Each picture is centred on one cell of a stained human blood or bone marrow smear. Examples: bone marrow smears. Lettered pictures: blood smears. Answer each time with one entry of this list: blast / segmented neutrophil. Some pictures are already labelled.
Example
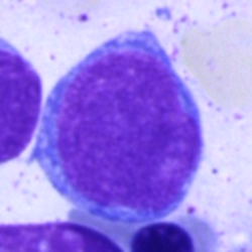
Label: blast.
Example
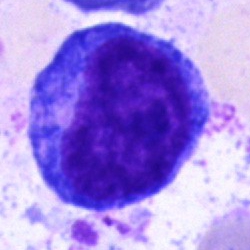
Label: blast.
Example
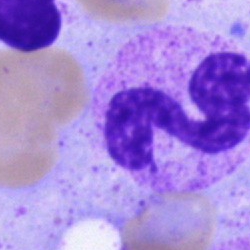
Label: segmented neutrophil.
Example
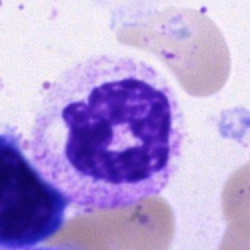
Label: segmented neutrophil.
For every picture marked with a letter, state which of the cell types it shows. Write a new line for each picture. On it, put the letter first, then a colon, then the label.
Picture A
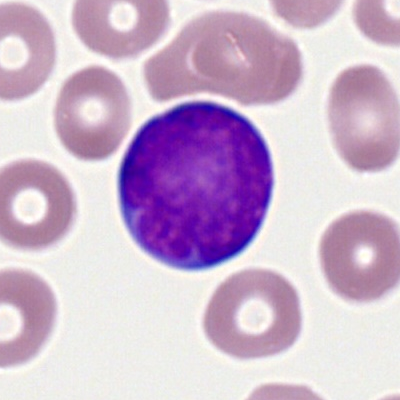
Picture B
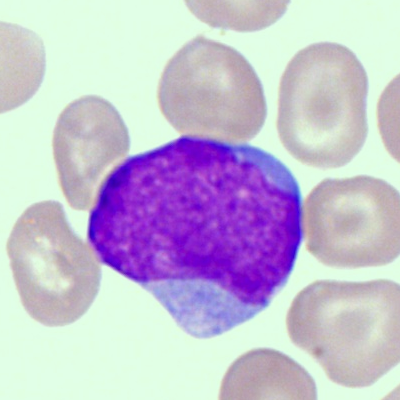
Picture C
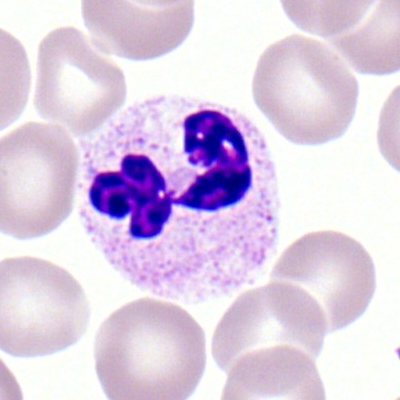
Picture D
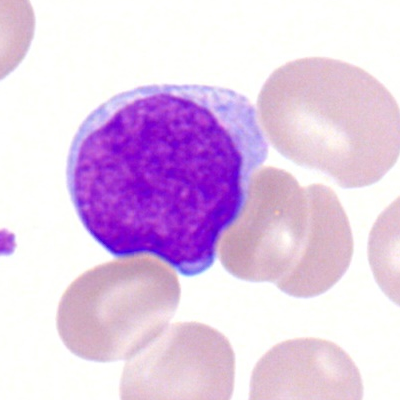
A: blast.
B: blast.
C: segmented neutrophil.
D: blast.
